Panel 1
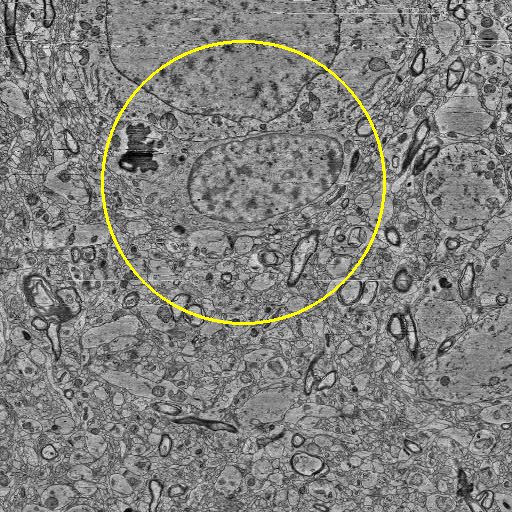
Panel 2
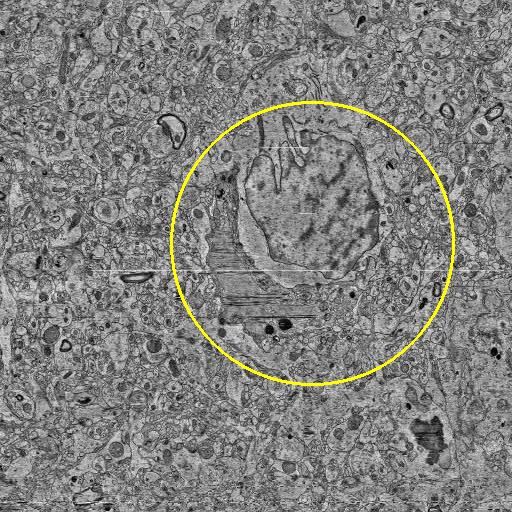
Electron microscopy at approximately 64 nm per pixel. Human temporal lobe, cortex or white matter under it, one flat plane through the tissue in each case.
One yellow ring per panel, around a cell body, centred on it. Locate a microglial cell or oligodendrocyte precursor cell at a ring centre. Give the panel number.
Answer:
2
